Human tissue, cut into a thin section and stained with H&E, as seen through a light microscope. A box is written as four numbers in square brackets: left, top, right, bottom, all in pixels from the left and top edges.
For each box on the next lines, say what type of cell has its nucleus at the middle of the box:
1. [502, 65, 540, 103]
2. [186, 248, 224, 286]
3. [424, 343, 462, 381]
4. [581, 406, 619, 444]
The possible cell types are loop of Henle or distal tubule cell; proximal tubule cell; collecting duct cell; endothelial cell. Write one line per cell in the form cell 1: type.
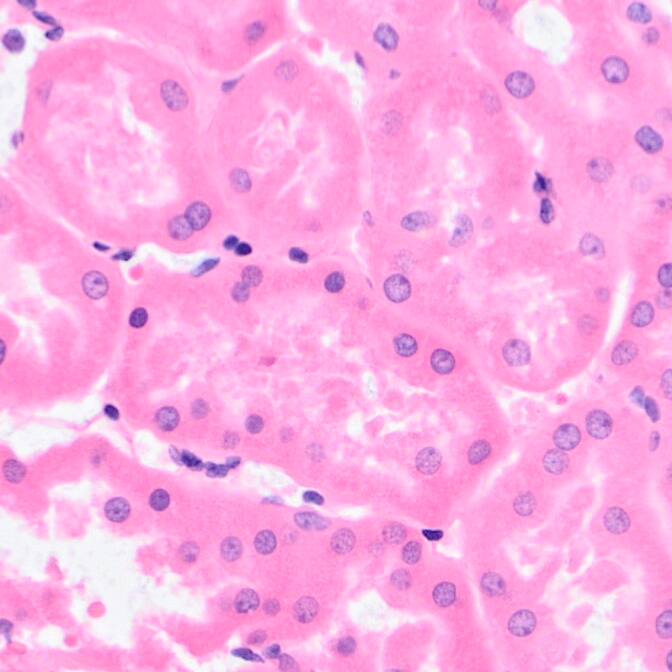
cell 1: proximal tubule cell
cell 2: endothelial cell
cell 3: proximal tubule cell
cell 4: proximal tubule cell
